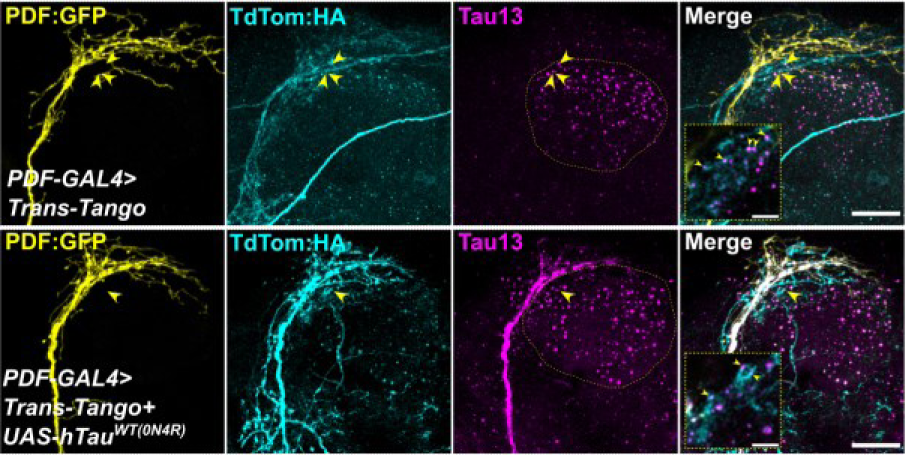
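Cyan fibres run alongside them and sweep down around a rounded neuropil region. In the magenta channel that rounded region, outlined by a dashed line, is speckled with many small discrete dots, rather than showing continuous fibres. In the lower row a thick magenta fibre bundle also follows the yellow fibres, appearing white in the merge. Enlarged insets show magenta dots lying among cyan processes, with some overlapping.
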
